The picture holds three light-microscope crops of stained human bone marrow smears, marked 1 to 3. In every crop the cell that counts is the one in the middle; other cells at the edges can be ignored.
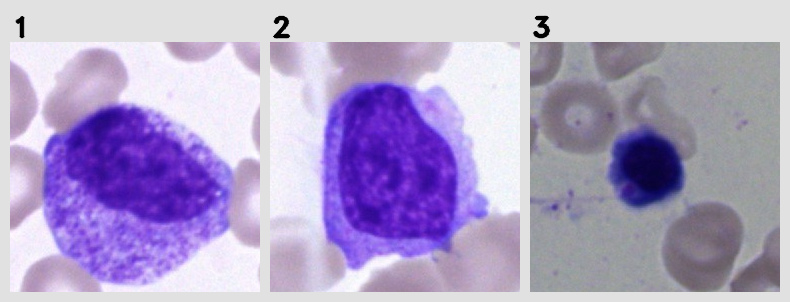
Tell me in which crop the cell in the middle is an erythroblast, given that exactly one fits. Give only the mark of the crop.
3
